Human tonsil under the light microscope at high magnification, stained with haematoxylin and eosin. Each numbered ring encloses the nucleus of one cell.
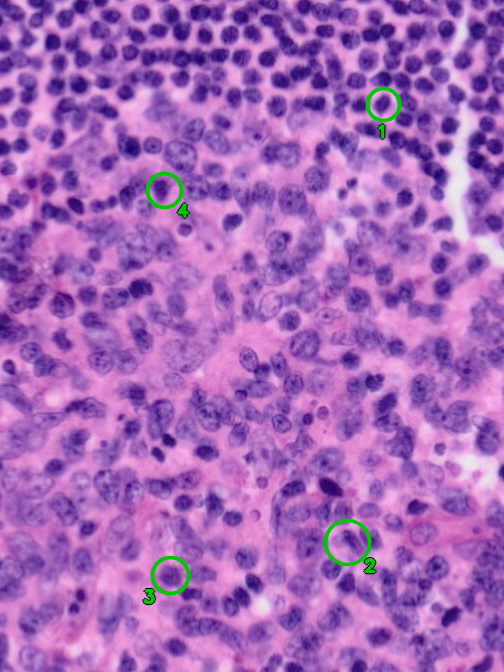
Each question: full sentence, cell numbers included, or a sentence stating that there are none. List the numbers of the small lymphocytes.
The sole numbered cell that is a small lymphocyte is cell 1.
